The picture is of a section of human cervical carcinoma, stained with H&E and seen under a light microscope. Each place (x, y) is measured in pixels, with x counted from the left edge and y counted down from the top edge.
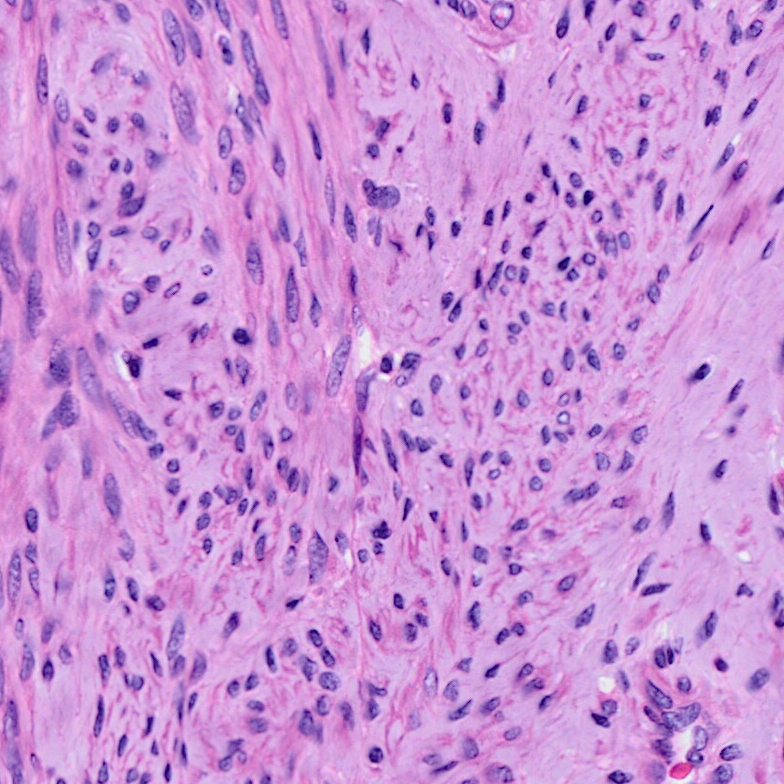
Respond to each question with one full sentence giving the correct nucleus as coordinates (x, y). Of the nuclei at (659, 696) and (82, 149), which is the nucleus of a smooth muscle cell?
Of the two nuclei present, the one at (82, 149) is within a smooth muscle cell.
